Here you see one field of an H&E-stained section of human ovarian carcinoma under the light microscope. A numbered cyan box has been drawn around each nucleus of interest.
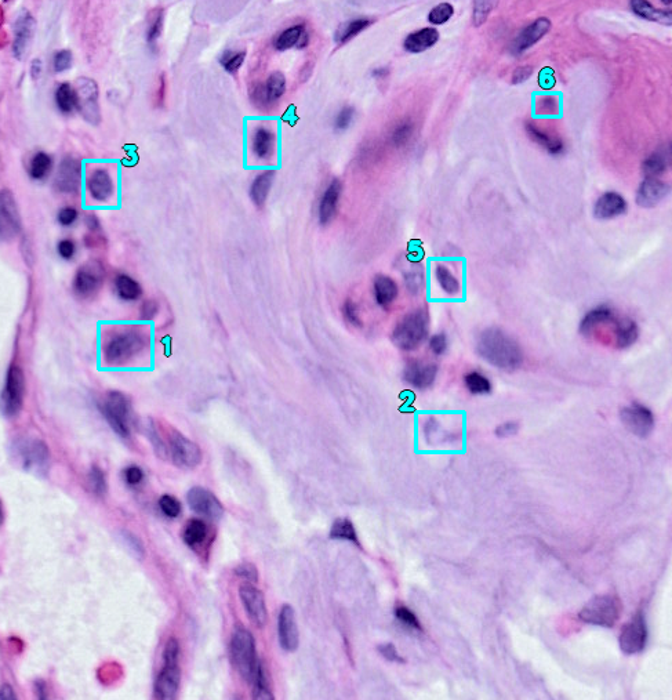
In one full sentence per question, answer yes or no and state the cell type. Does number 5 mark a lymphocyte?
Yes, the cell at marker 5 is a lymphocyte.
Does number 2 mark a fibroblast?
Yes, that is so; number 2 marks a fibroblast.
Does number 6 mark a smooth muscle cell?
Yes, it is a smooth muscle cell that number 6 identifies.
